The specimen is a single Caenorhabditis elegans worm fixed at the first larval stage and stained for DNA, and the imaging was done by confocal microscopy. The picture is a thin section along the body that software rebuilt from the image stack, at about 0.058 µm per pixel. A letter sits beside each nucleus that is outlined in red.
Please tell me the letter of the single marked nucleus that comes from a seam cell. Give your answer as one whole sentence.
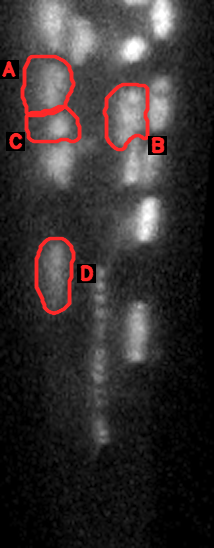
Nucleus A belongs to a seam cell.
